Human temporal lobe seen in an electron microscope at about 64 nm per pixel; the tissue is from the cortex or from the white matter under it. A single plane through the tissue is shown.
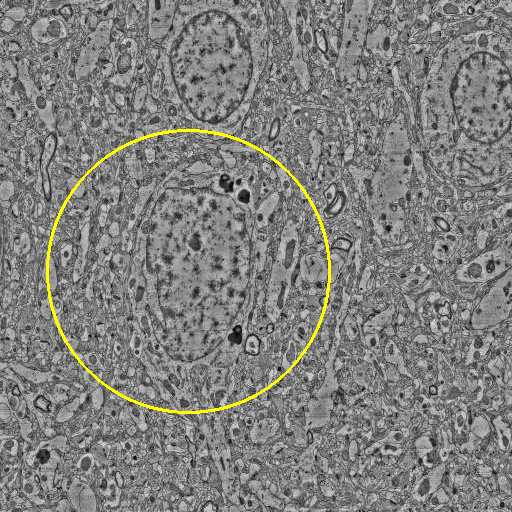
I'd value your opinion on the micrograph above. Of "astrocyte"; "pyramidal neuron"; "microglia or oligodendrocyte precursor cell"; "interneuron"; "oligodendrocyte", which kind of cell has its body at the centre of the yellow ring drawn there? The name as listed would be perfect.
interneuron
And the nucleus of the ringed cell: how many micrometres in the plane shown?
In this plane, roughly 11 by 7 micrometres.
